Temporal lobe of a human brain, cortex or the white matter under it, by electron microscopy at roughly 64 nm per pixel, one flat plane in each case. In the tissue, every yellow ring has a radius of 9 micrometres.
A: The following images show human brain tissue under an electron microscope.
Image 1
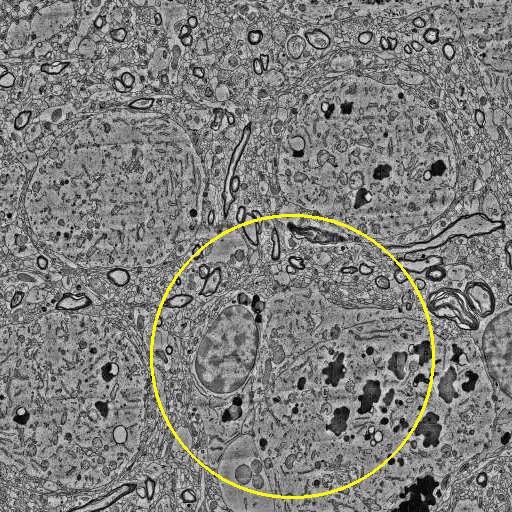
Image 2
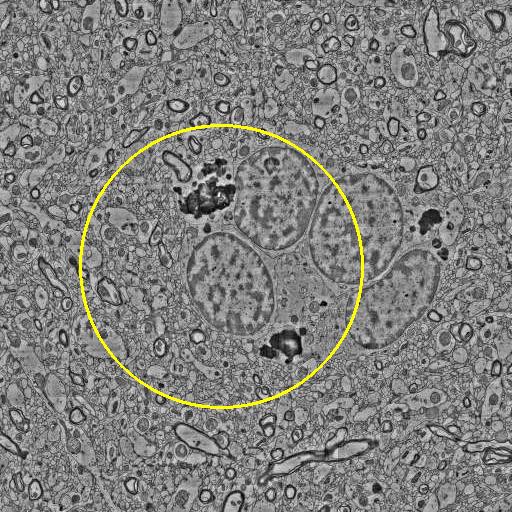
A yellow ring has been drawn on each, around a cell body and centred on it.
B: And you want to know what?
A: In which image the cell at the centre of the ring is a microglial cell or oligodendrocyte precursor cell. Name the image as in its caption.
Image 1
